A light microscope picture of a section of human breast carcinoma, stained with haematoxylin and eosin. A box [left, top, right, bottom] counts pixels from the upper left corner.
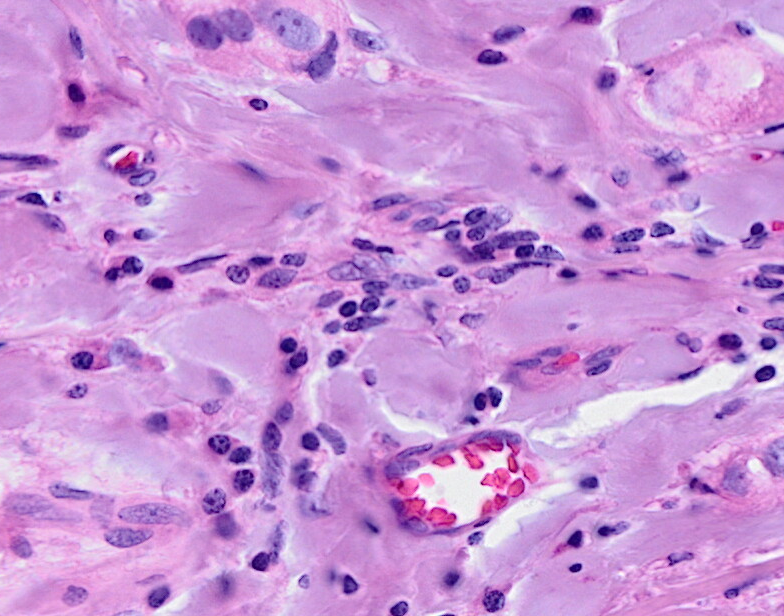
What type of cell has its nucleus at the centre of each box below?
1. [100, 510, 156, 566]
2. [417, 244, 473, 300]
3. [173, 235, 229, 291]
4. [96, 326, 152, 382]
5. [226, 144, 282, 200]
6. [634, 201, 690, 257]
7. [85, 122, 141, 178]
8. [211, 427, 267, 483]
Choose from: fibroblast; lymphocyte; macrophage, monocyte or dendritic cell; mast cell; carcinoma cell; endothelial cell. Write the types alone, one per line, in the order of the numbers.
endothelial cell
lymphocyte
fibroblast
fibroblast
fibroblast
lymphocyte
endothelial cell
lymphocyte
